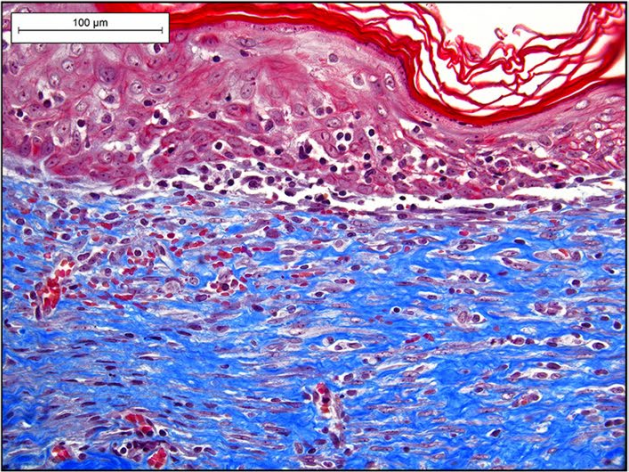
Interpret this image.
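Skin with a thickened epidermis of polygonal cells under a red, loosely layered top layer, and blue-stained collagen beneath. Numerous cells with small dark nuclei crowd the junction between epidermis and dermis and spread into the upper dermis among spindle-shaped cells, with red blood cells in small vessels.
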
